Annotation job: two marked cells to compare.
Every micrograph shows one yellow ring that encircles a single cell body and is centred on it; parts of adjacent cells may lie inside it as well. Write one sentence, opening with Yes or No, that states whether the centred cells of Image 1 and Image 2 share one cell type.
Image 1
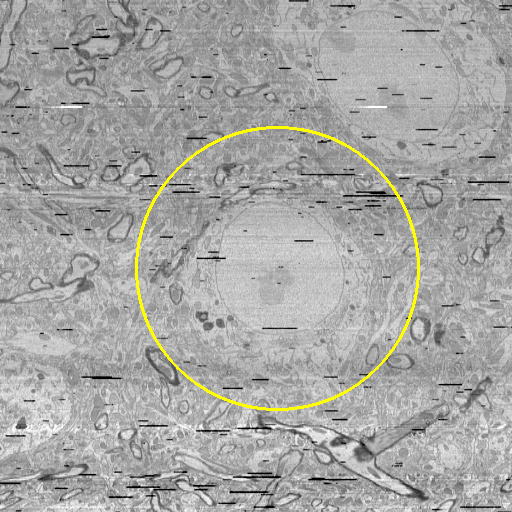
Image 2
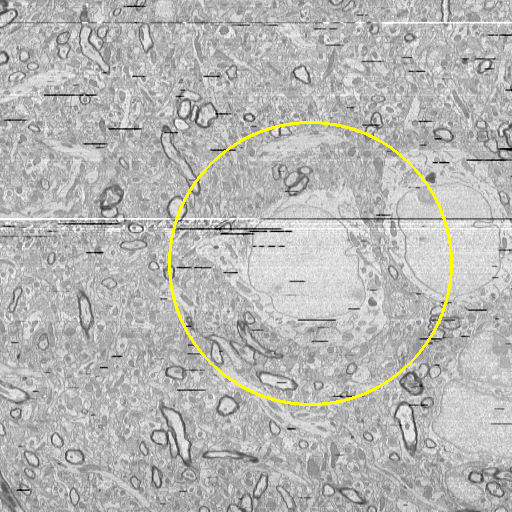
Yes, the cell centred in Image 1 shares its type with the cell centred in Image 2.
